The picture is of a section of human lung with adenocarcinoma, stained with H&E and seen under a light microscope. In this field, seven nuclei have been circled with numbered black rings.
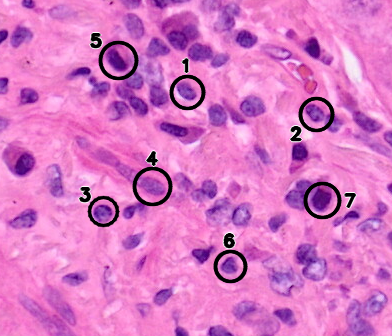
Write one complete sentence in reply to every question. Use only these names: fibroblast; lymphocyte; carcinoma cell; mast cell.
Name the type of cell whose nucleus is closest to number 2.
The cell nearest to number 2 is a lymphocyte.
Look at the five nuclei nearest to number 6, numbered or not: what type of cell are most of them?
Fibroblasts make up most of the five nuclei closest to number 6.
